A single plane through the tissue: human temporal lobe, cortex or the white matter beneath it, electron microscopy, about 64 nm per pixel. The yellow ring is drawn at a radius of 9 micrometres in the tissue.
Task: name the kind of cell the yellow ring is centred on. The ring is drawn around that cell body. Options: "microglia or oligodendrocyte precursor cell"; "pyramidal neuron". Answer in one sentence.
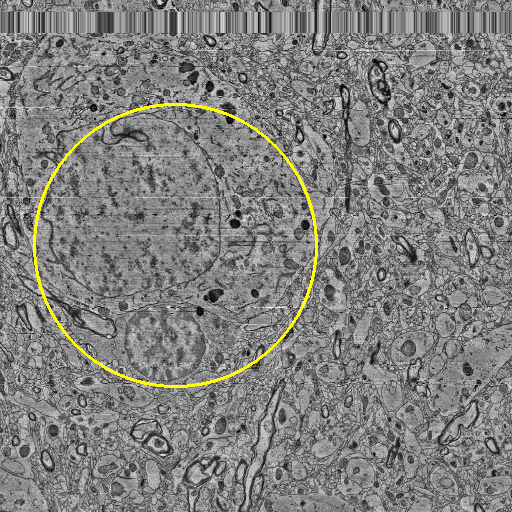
This cell body belongs to a pyramidal neuron.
